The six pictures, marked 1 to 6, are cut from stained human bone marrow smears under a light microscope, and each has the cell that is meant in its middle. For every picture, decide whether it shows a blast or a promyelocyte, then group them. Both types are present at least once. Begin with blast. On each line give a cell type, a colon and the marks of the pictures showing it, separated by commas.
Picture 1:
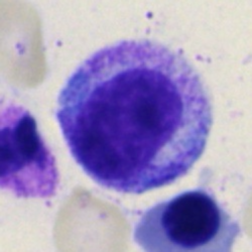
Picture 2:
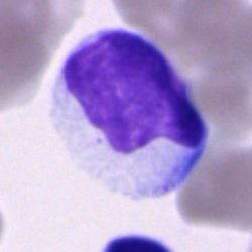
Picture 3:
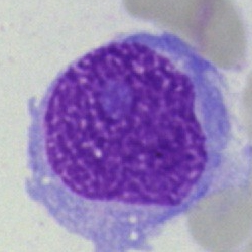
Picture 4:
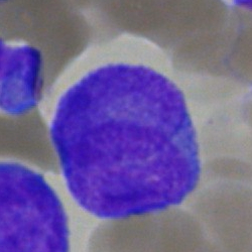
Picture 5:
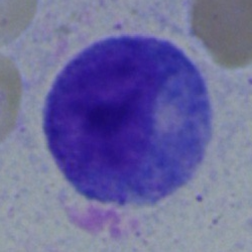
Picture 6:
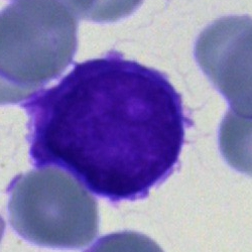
blast: 2, 3, 4, 6
promyelocyte: 1, 5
